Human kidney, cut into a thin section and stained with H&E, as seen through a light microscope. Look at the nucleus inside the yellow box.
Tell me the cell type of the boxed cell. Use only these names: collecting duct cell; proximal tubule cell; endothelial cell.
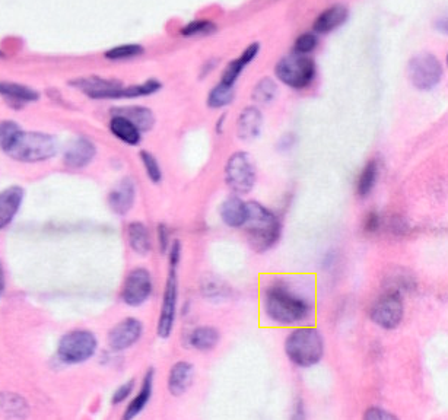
collecting duct cell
